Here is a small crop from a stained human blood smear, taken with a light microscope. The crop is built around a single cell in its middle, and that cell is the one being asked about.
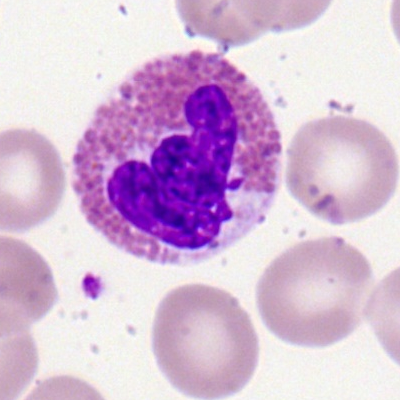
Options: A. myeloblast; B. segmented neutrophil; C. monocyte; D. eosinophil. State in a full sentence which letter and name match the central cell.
Option D is correct in naming the middle cell an eosinophil.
